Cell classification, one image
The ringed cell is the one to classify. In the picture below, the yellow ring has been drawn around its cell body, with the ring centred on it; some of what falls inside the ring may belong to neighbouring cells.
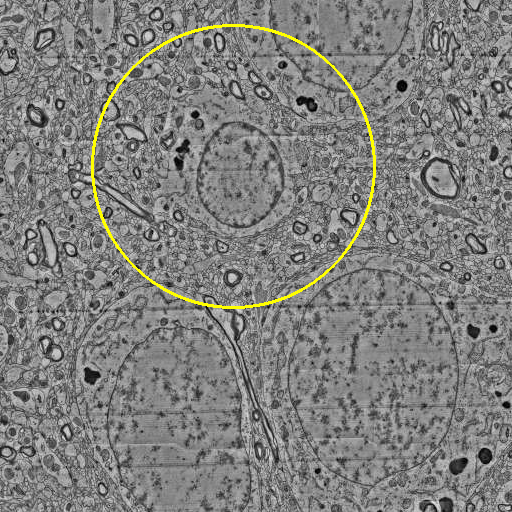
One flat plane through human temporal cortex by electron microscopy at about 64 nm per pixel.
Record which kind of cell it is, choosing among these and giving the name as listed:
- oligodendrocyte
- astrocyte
astrocyte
